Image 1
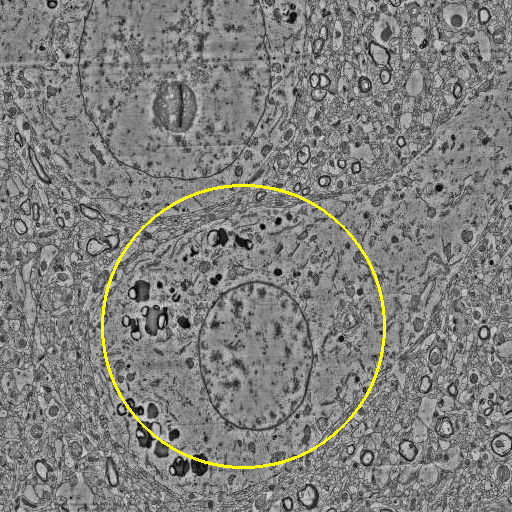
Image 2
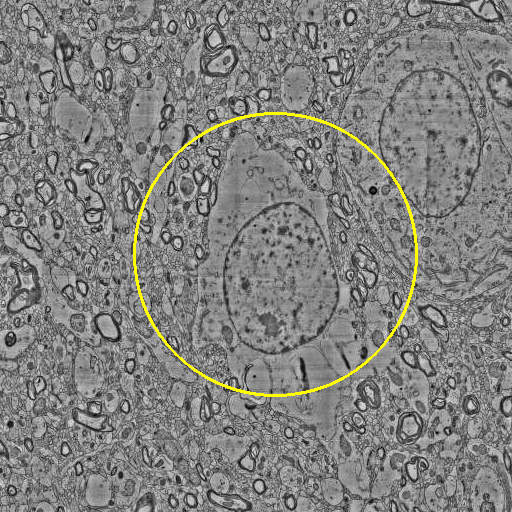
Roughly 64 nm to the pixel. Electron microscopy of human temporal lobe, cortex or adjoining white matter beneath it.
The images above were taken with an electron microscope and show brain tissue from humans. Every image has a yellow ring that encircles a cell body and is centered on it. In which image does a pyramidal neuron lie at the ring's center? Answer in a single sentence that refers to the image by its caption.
In Image 1, the cell at the center of the yellow ring is the correct match.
